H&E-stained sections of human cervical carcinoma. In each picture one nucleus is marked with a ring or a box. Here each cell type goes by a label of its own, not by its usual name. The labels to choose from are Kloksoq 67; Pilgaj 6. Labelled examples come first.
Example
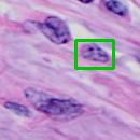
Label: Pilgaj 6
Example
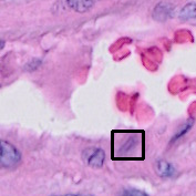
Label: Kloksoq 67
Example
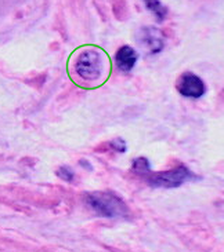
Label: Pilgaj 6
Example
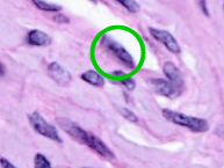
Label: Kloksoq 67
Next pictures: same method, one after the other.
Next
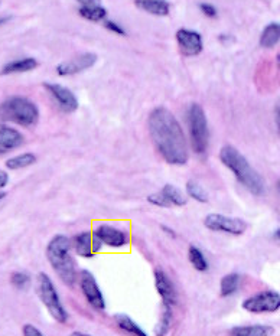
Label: Kloksoq 67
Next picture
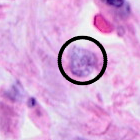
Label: Kloksoq 67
